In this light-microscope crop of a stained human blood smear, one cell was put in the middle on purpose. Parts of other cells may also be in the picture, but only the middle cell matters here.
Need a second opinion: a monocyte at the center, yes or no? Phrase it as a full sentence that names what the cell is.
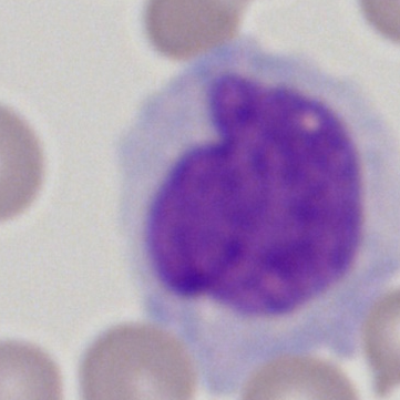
Yes, the cell in the centre is a monocyte.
